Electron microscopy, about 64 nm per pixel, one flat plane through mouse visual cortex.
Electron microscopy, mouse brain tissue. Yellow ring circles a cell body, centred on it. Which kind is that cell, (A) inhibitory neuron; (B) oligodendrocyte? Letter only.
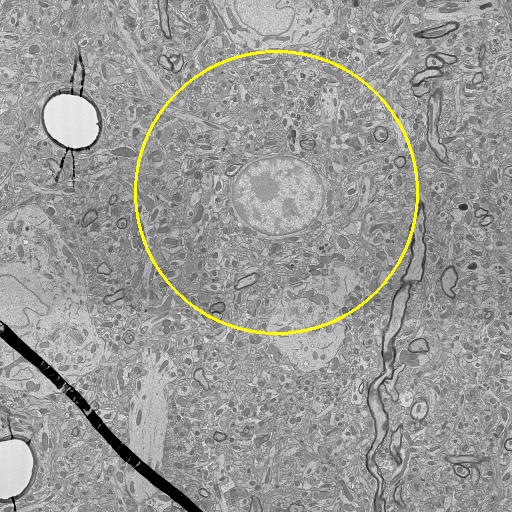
B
